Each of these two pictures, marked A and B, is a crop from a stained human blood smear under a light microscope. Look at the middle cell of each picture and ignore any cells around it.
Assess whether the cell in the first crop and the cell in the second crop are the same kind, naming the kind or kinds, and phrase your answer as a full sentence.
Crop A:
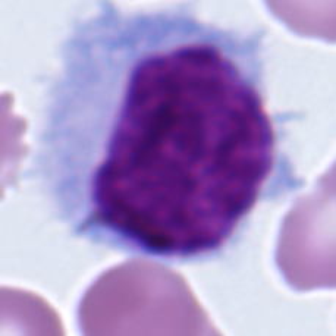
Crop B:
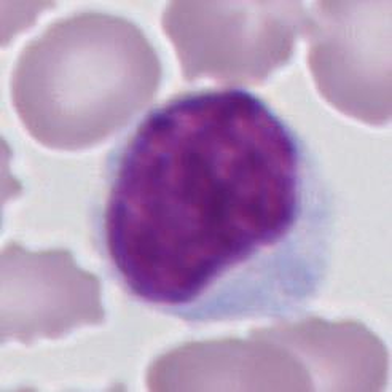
Yes, both of the crops in this pair show hairy cells, one cell in each crop.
